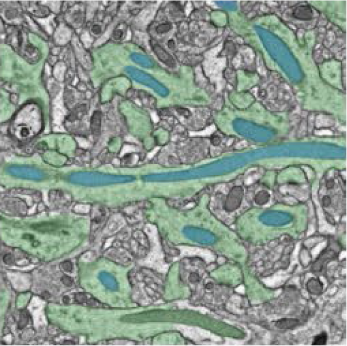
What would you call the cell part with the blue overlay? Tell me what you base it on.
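Blue-filled elongated and oval profiles lie inside the green-shaded processes. The blue profiles run lengthwise along the green processes. That points to this answer: dendritic mitochondria.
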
